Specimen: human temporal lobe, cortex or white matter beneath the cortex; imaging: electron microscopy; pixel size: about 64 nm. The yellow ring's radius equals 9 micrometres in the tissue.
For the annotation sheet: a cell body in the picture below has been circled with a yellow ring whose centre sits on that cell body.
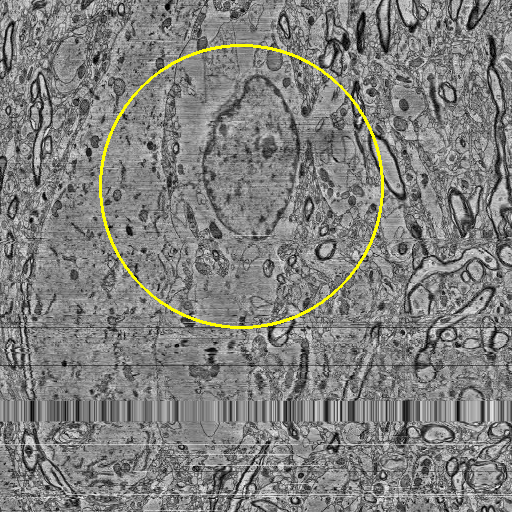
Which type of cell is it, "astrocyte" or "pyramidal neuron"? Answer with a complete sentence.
The circled cell is an astrocyte.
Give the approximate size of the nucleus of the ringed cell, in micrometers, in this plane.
Roughly 11 by 6 micrometres; in this plane, clearly longer than it is wide.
